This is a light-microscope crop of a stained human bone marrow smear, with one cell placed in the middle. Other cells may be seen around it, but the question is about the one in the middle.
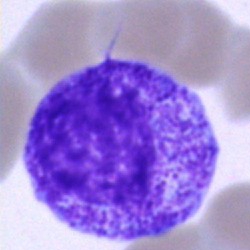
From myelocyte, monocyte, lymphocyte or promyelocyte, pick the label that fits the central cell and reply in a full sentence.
Positioned in the middle of the crop is a promyelocyte.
